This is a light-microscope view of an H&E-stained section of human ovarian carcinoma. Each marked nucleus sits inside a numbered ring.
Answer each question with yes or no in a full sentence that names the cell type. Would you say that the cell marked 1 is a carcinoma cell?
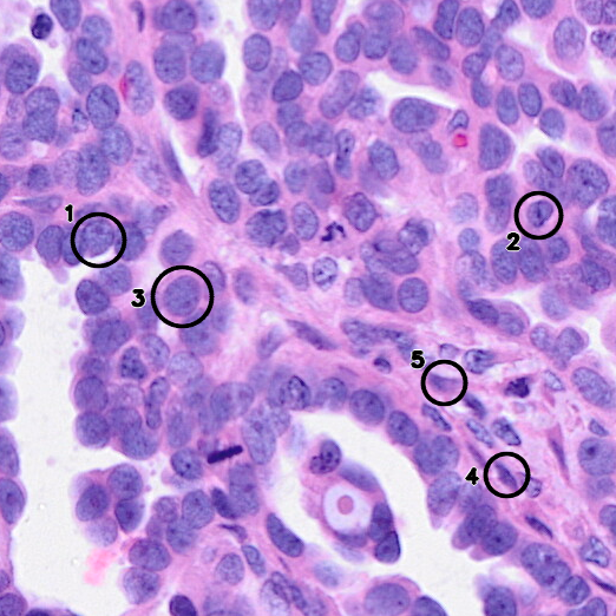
Yes, of the numbered cells, number 1 is a carcinoma cell.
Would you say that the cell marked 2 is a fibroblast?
No, calling cell 2 a fibroblast is incorrect; it is a macrophage or monocyte.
